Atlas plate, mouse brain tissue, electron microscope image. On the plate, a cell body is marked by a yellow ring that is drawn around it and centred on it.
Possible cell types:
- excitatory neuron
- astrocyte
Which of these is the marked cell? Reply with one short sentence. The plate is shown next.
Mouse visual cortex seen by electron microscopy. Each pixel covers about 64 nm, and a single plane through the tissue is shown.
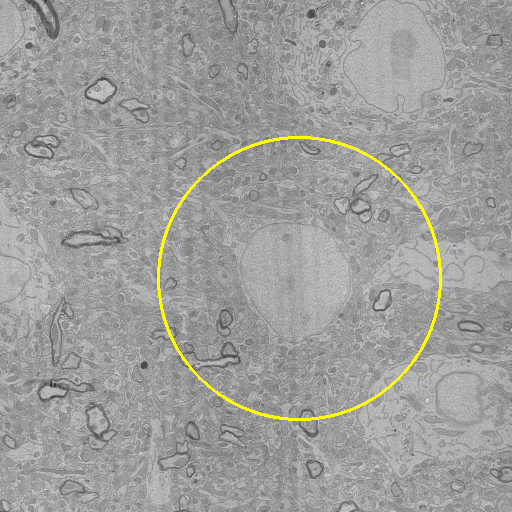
The marked cell is an astrocyte.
